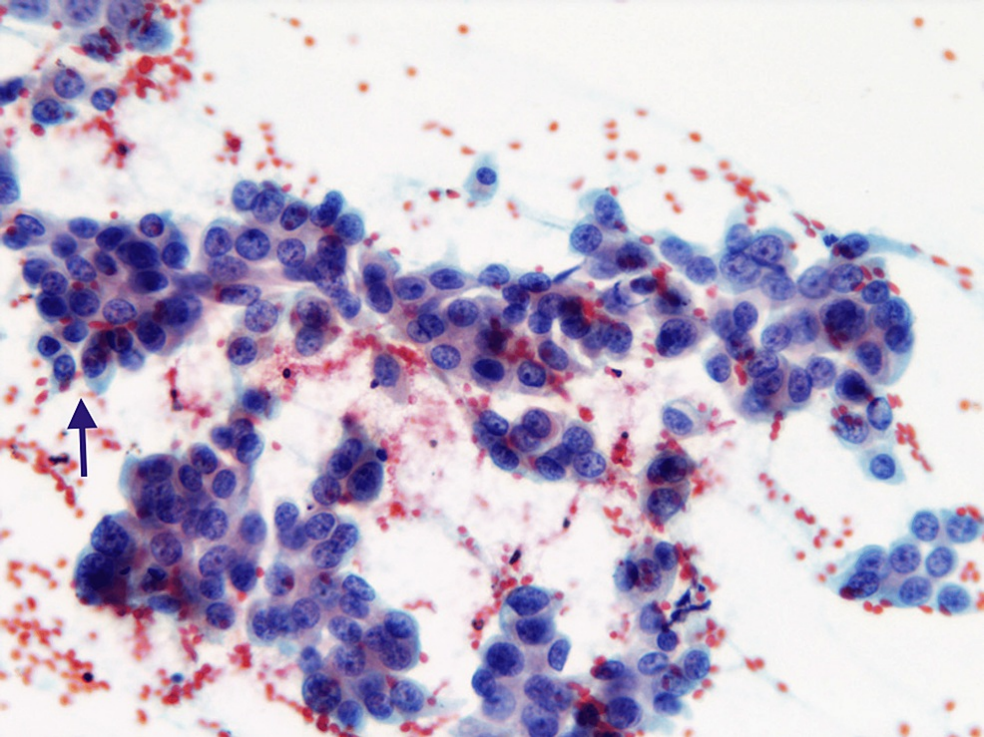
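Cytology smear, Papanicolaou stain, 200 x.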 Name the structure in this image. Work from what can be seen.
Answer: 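Cohesive sheets. The cells lie in tightly packed groups that hold together. Few single cells lie apart from the groups.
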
